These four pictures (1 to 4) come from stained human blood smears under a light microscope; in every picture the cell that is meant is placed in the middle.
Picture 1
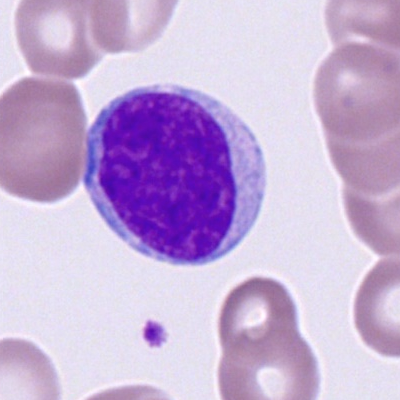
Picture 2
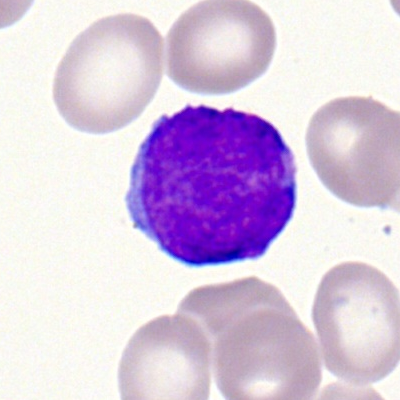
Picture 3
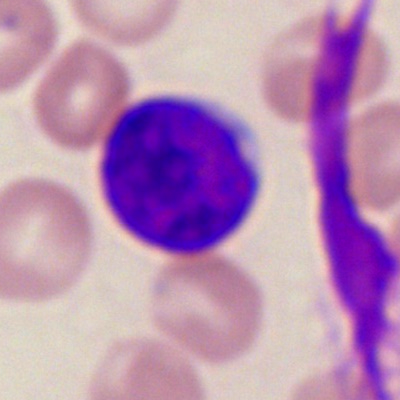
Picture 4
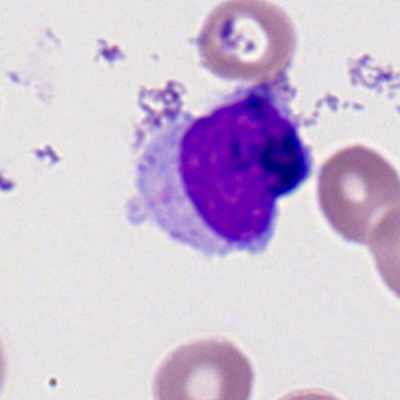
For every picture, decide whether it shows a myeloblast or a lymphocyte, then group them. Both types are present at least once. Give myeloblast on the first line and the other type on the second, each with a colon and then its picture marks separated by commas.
myeloblast: 1, 2, 3
lymphocyte: 4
